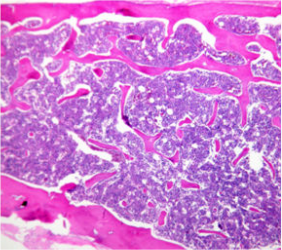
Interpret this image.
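This section shows bone marrow filling the spaces between bony trabeculae, with few adipocytes. The marrow is highly cellular, made of densely packed small cells with dark purple nuclei. Thin pink trabeculae of bone branch through the marrow and a thicker pink band of cortical bone runs along the edges. Only a few small round clear spaces, the fat cells, are scattered among the hematopoietic cells.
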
